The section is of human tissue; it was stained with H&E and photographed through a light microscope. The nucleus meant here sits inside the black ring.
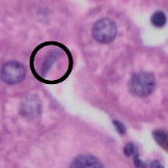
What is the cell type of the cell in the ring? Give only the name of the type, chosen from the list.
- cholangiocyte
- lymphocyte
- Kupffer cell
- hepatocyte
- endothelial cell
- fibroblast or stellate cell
endothelial cell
